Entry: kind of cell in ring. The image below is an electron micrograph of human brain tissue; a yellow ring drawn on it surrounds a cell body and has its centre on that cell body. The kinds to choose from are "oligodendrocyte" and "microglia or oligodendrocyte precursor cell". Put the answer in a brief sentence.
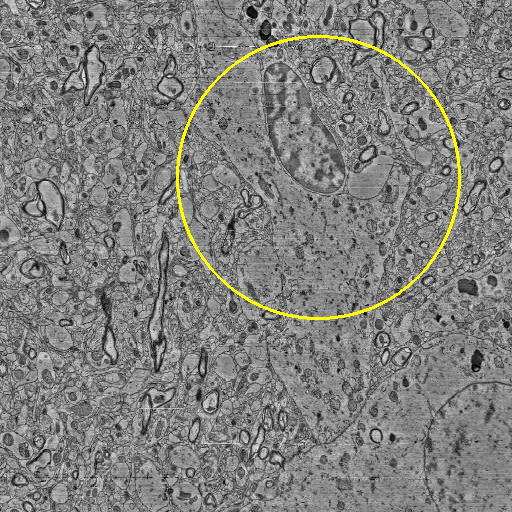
The ring has been drawn around a microglial cell or oligodendrocyte precursor cell.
